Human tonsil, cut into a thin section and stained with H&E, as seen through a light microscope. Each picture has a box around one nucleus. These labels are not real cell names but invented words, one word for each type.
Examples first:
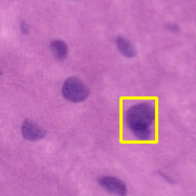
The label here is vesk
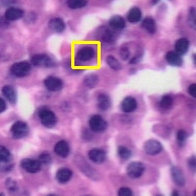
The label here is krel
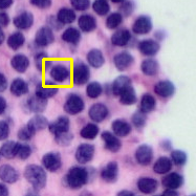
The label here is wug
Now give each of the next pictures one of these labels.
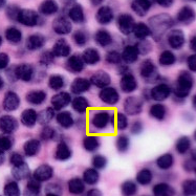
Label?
wug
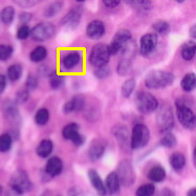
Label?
krel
